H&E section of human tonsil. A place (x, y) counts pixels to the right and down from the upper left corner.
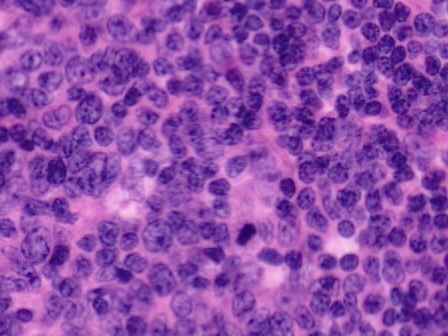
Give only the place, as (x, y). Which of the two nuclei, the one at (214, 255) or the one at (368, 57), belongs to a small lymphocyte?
(368, 57)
